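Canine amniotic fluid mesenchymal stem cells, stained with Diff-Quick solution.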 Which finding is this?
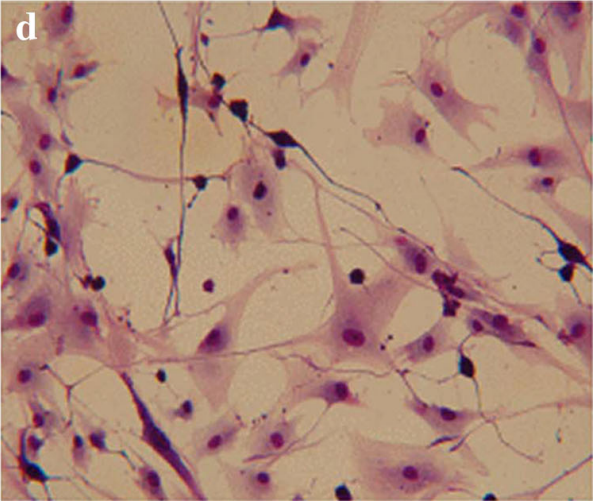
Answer: Neuron-like morphology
